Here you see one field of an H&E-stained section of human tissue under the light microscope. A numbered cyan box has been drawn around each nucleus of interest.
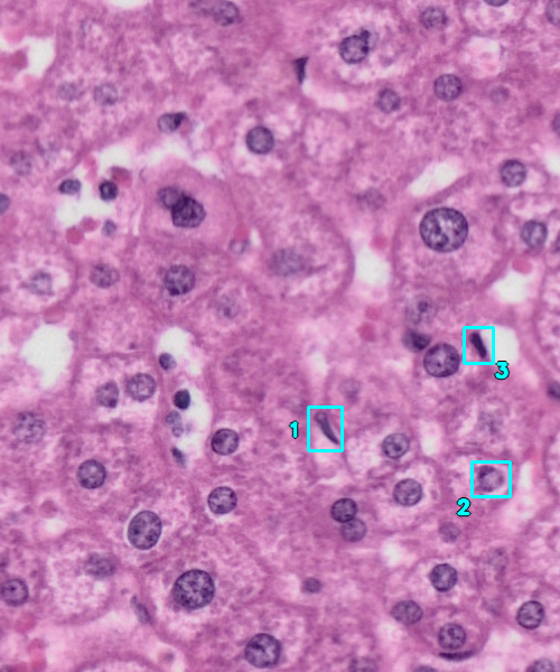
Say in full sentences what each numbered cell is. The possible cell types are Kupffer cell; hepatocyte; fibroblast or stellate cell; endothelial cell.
Cell 1 is an endothelial cell, cell 2 is a hepatocyte and cell 3 is an endothelial cell.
